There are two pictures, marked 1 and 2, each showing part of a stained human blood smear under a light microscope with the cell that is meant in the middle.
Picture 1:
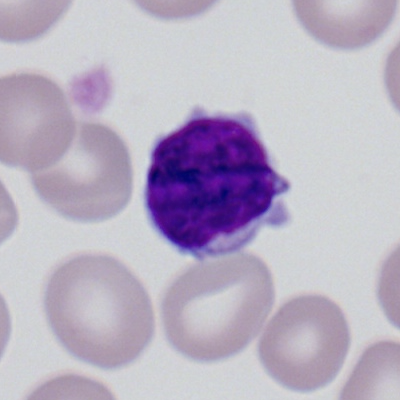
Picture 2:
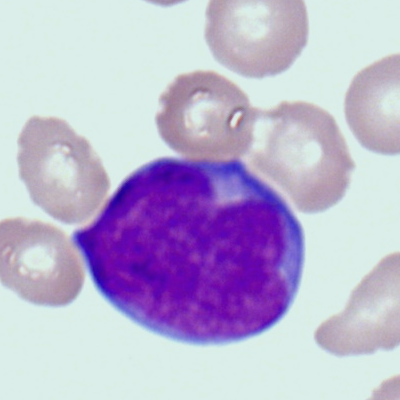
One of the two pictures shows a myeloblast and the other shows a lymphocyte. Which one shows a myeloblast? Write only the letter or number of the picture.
2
